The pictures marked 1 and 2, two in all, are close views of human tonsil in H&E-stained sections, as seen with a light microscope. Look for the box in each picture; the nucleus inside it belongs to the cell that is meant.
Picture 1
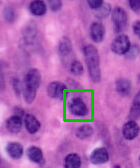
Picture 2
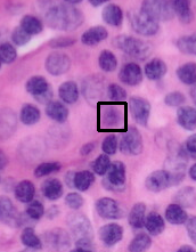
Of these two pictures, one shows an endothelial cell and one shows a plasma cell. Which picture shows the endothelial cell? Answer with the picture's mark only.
2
